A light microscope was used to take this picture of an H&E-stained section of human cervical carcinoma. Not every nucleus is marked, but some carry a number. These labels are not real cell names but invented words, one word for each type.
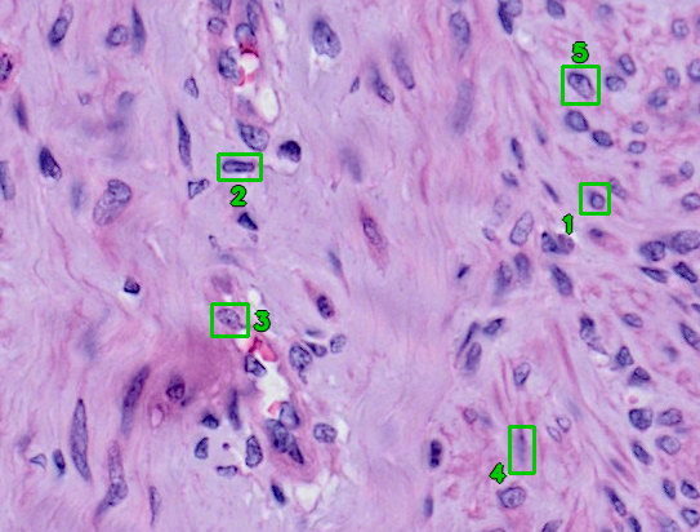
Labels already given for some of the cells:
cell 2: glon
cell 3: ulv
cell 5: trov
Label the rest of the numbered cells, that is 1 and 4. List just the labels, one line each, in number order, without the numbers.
trov
trov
